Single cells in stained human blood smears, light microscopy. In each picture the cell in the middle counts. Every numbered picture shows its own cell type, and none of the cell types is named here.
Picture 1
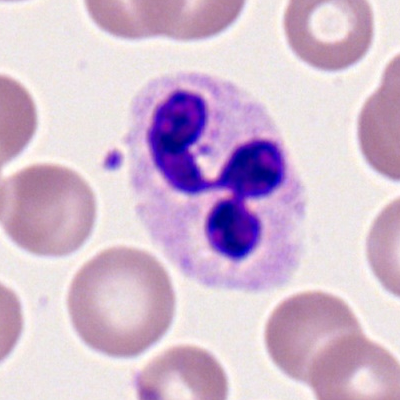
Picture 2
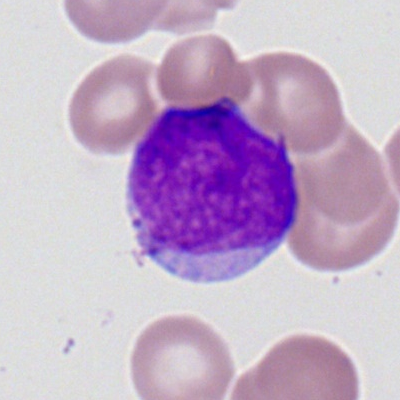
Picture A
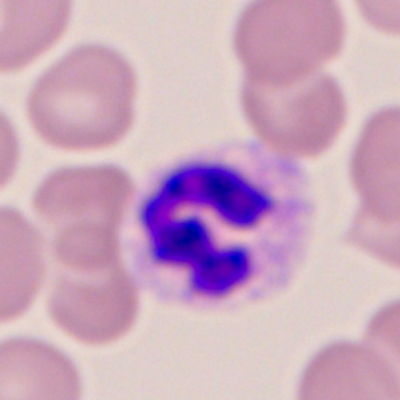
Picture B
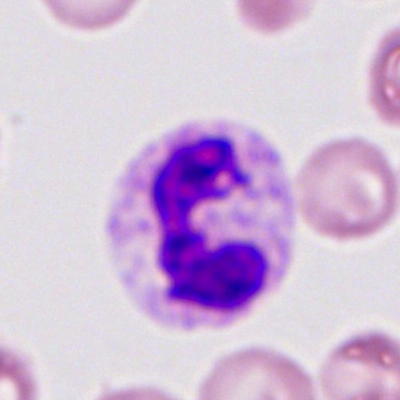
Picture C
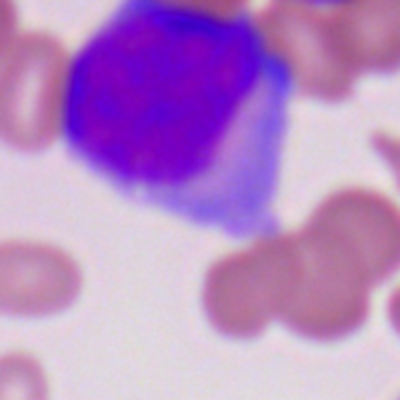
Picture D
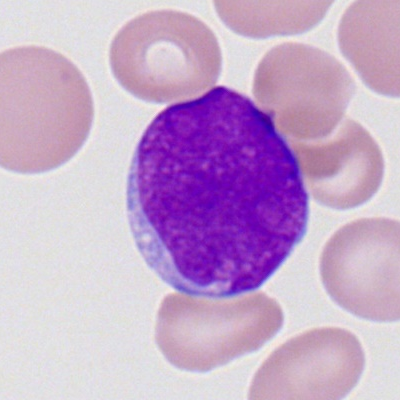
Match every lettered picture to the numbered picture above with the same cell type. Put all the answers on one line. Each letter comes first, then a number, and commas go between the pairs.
A 1, B 1, C 2, D 2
